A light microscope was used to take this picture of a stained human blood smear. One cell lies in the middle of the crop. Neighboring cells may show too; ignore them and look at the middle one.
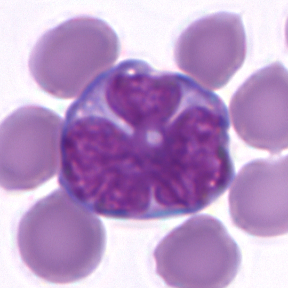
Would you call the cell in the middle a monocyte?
yes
